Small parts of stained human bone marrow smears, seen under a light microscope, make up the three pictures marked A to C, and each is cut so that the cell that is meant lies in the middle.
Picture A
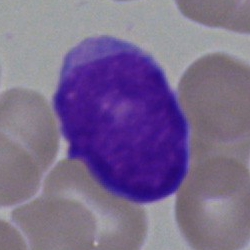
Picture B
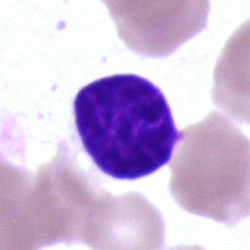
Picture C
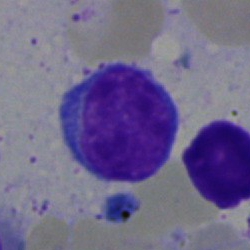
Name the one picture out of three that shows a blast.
A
